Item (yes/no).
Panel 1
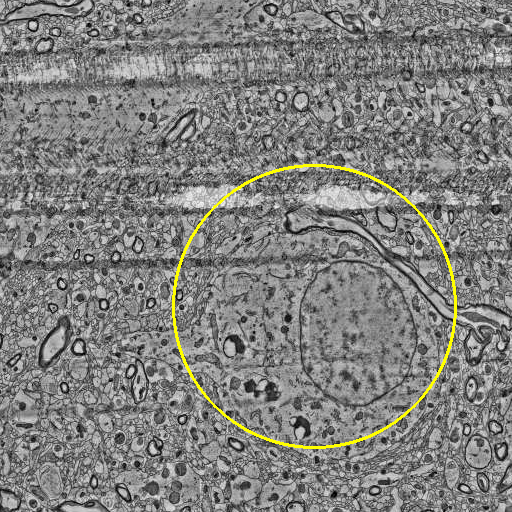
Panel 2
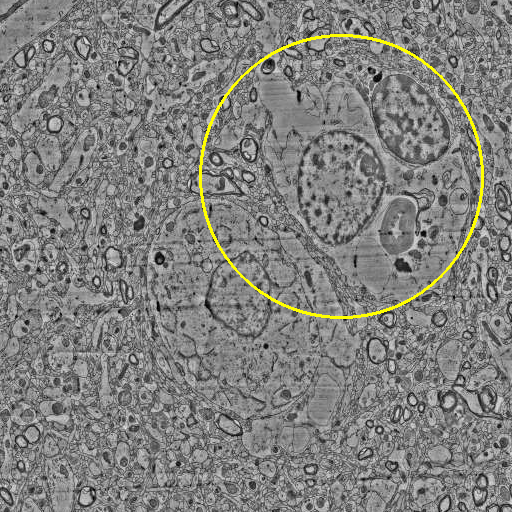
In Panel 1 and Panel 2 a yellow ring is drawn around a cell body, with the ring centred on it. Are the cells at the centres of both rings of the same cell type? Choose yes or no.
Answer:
no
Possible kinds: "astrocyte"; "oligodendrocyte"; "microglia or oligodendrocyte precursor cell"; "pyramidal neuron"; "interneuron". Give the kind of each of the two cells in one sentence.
The cell in the second picture is an astrocyte, and that in the first is a pyramidal neuron.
